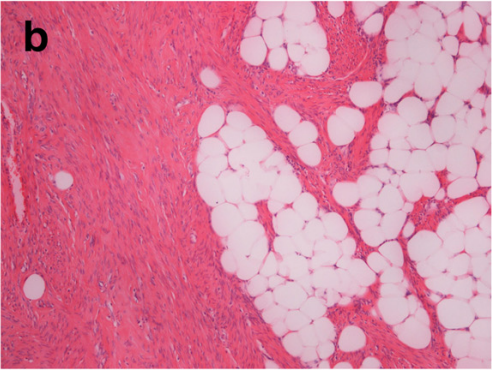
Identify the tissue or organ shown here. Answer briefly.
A: Mature fat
